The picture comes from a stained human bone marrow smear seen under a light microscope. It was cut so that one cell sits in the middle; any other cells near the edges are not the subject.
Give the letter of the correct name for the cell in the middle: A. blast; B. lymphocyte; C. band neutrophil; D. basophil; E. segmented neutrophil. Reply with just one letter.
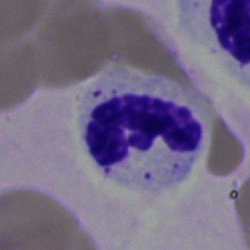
E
